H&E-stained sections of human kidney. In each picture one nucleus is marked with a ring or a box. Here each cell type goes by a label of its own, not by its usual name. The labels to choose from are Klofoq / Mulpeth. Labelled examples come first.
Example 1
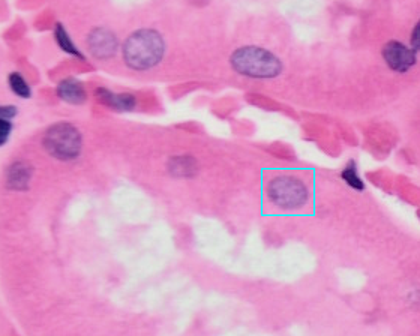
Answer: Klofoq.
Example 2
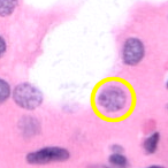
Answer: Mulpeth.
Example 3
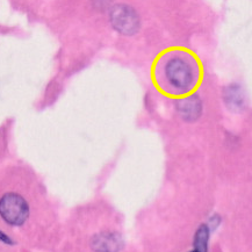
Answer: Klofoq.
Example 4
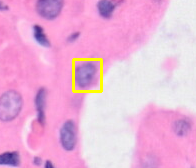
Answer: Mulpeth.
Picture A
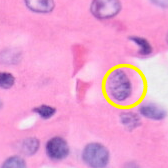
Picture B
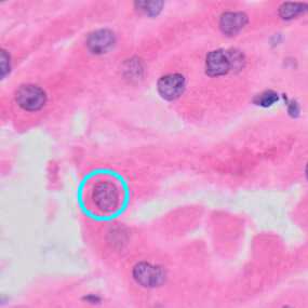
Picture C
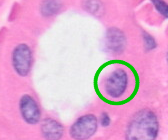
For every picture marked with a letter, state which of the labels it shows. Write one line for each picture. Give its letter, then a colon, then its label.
A: Mulpeth.
B: Klofoq.
C: Mulpeth.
